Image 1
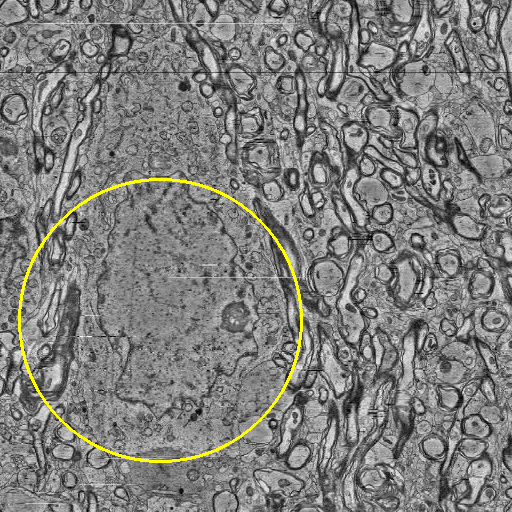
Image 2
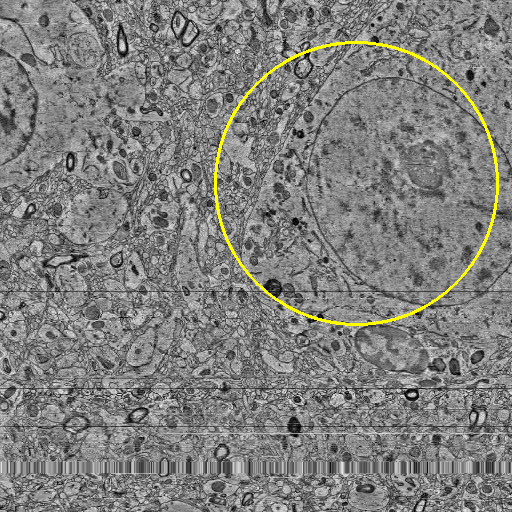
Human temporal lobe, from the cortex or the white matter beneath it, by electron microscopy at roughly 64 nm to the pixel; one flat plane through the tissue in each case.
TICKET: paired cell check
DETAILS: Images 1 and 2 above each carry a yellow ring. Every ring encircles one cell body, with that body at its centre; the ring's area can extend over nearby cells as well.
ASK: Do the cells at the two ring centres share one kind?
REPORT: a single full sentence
Yes, the ring-centre cells of Images 1 and 2 belong to a single kind.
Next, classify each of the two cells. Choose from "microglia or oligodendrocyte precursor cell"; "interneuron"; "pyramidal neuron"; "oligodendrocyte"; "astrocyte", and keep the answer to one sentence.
Both pictures show a pyramidal neuron at the centre of the ring.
